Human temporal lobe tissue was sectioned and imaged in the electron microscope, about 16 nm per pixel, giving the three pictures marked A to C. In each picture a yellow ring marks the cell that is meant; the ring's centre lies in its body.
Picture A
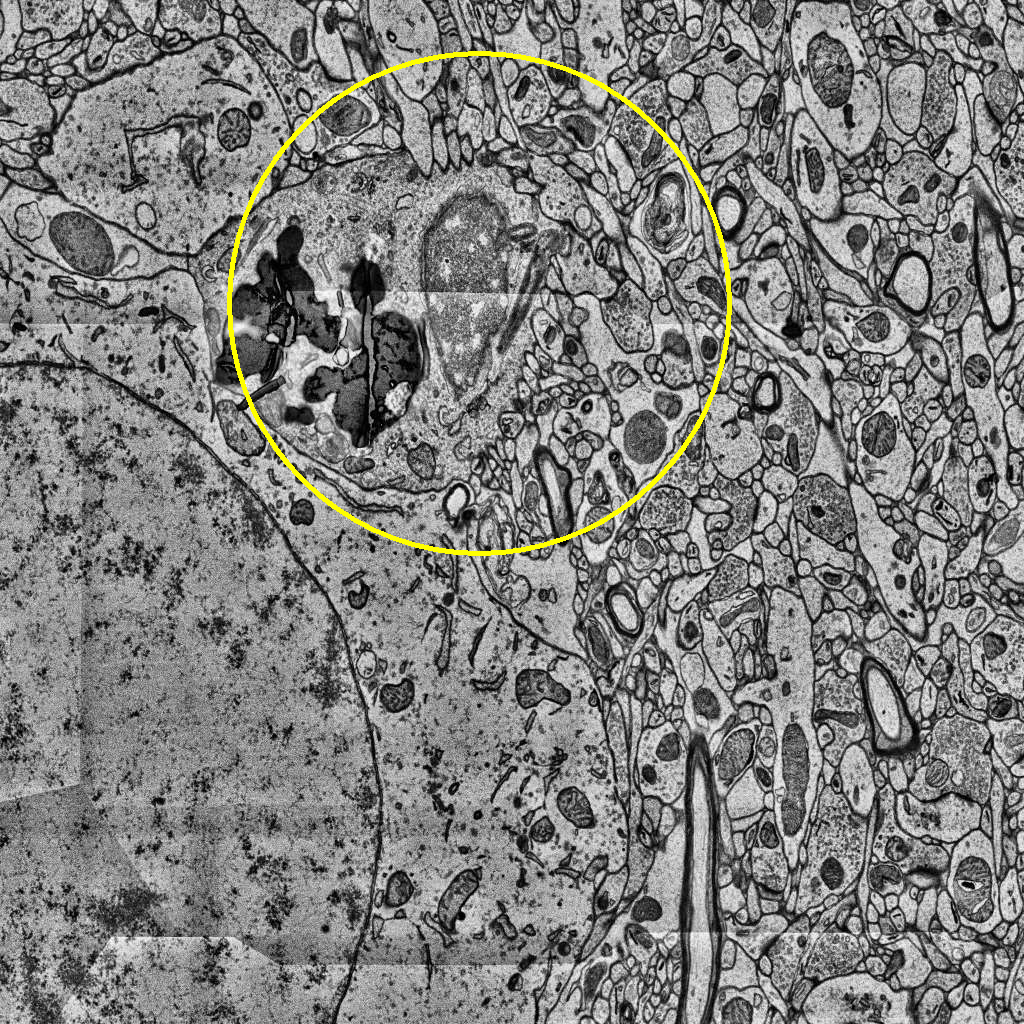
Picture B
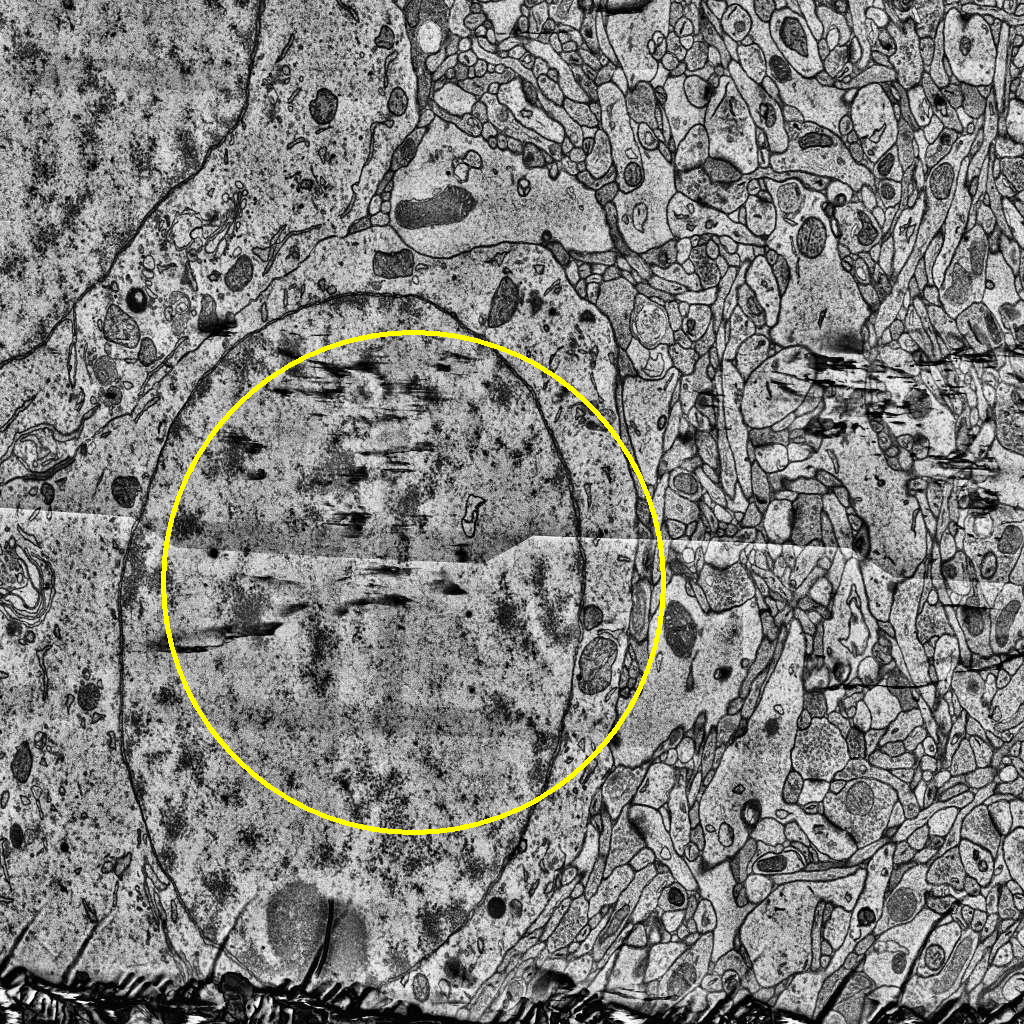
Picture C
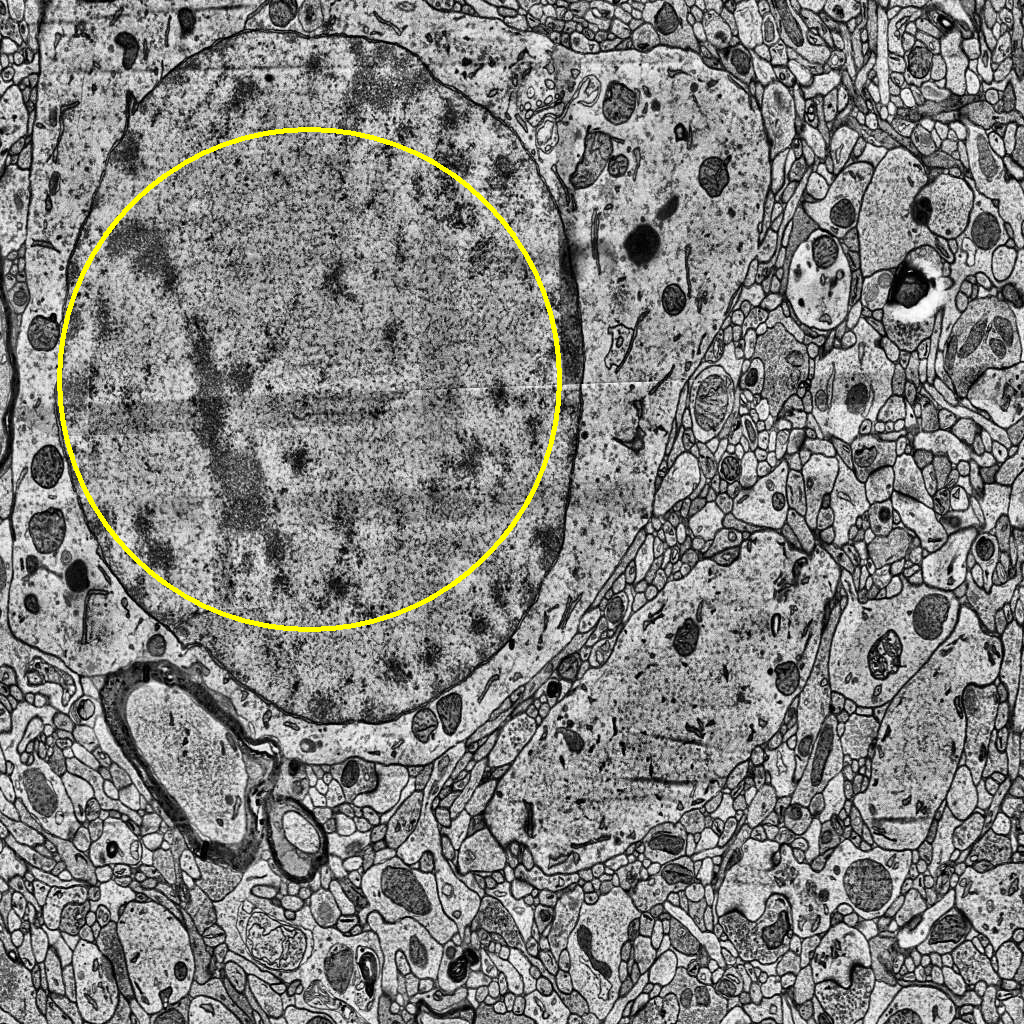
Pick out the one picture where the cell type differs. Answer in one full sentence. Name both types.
The different one is picture A; it shows an oligodendrocyte, whereas all the others show pyramidal neurons.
